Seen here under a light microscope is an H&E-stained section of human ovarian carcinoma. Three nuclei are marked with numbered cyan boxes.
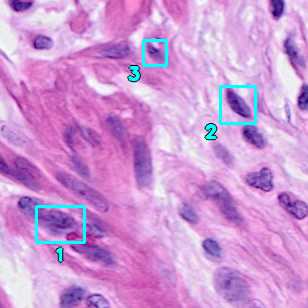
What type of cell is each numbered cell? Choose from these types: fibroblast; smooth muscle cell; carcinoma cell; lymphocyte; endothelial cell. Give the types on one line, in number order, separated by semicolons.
endothelial cell; fibroblast; endothelial cell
